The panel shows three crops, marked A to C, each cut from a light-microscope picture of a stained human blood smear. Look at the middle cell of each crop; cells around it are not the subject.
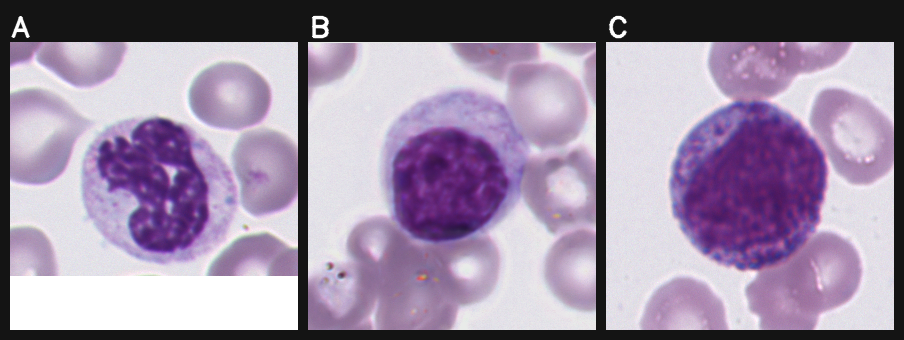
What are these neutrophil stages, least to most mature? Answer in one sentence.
The crops, ordered from least to most mature, are crop C (a promyelocyte), crop B (a myelocyte) and crop A (a segmented neutrophil).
